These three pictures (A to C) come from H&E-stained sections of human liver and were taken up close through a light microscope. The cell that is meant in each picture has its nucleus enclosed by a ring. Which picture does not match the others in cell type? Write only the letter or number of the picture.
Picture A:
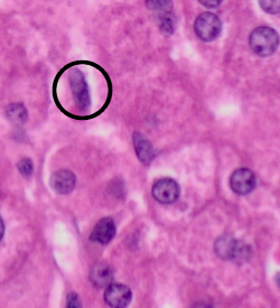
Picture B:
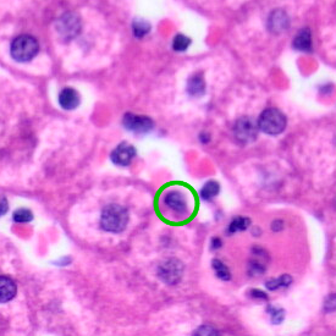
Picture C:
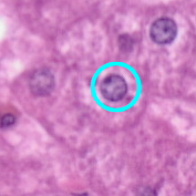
C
